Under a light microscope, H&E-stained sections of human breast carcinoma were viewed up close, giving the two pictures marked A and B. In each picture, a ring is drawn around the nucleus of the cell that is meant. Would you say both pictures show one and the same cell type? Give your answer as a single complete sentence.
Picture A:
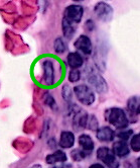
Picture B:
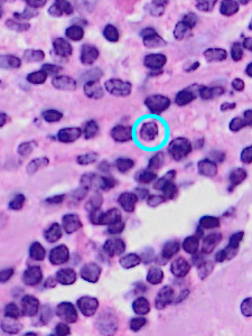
No, they differ: the cell is an endothelial cell in picture A and a lymphocyte in picture B.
